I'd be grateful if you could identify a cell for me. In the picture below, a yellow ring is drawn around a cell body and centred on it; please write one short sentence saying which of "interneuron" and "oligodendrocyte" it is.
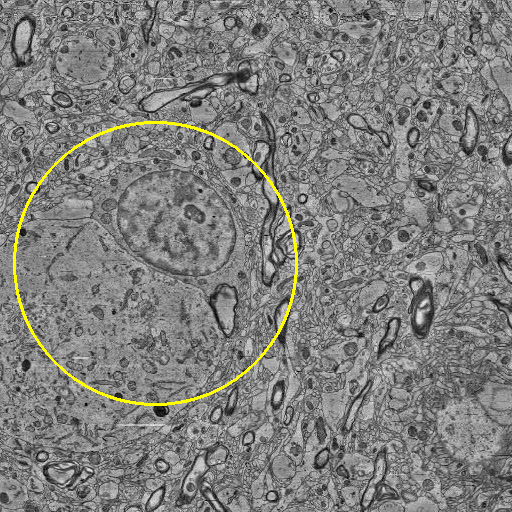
The cell under the ring's centre is an oligodendrocyte.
